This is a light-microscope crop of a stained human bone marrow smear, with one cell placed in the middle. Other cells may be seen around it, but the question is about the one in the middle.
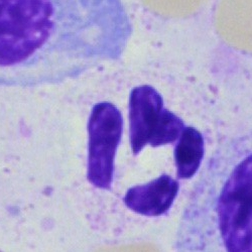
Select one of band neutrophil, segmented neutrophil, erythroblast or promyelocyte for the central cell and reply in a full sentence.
The cell centered in this field of view is a segmented neutrophil.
